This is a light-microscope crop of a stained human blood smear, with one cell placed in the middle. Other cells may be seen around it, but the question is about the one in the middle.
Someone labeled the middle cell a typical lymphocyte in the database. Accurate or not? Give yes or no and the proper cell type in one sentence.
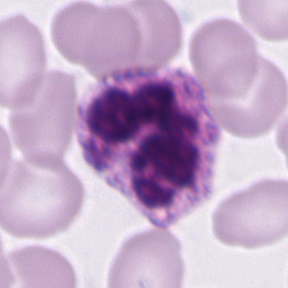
No, the central cell is not to be called a typical lymphocyte, being a basophil.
